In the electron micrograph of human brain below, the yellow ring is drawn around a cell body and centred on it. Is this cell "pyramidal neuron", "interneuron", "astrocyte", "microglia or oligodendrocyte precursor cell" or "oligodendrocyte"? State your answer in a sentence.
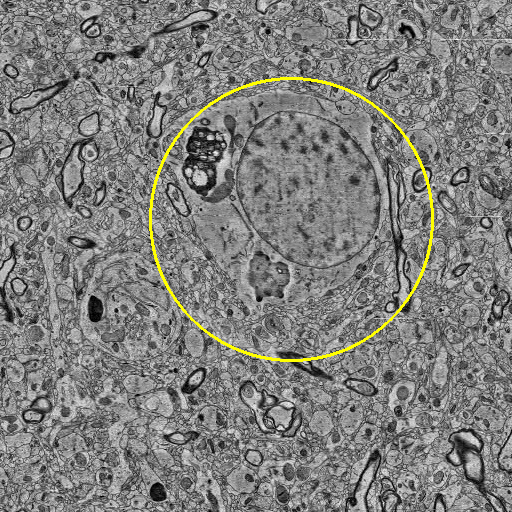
The cell in the middle of the ring is an astrocyte.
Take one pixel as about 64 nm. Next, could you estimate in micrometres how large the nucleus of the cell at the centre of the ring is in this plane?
In this plane, approximately 11 by 9 micrometers.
